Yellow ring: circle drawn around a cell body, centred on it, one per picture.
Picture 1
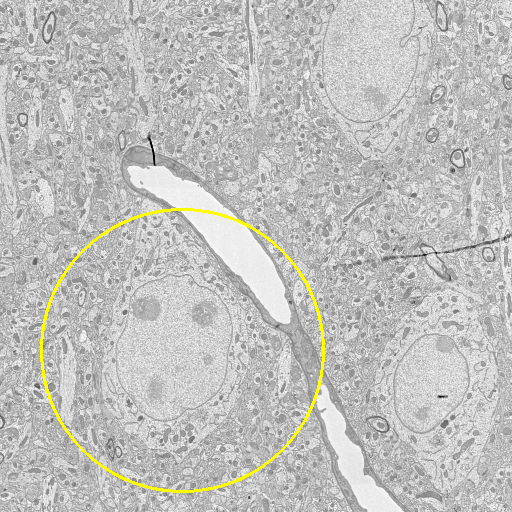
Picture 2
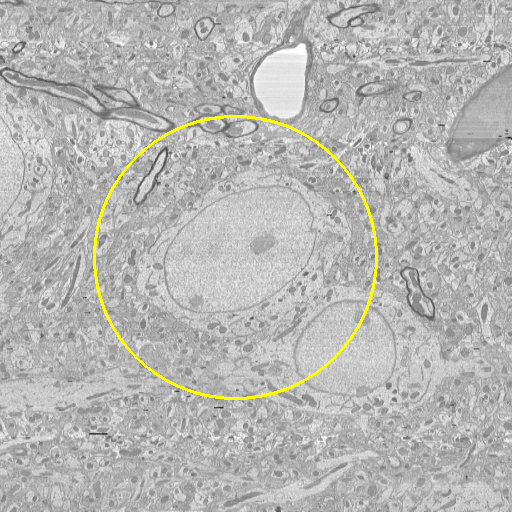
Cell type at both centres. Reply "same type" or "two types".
same type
